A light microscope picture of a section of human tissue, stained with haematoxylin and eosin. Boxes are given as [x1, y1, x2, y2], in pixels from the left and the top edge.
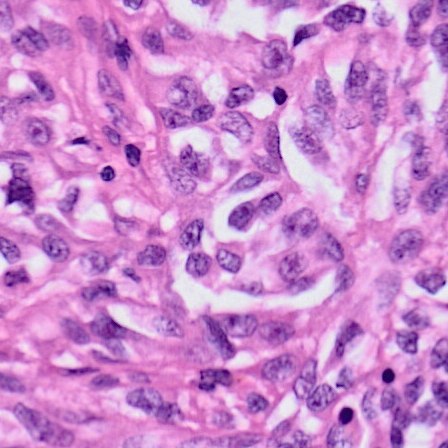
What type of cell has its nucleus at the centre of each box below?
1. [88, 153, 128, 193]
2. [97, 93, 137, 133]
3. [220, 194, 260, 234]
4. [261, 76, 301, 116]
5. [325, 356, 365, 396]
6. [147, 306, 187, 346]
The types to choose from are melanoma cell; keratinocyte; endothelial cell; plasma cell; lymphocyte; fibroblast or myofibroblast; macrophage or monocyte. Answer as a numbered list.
1. lymphocyte
2. endothelial cell
3. melanoma cell
4. lymphocyte
5. melanoma cell
6. melanoma cell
